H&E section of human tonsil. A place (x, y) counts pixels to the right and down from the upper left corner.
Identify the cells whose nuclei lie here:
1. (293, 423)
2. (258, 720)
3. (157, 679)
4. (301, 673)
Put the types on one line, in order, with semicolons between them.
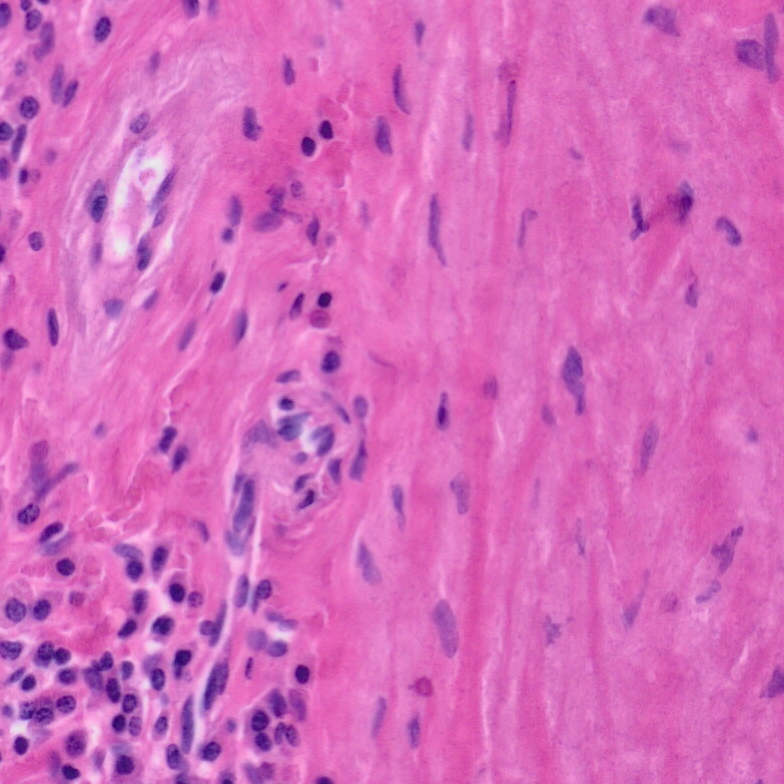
endothelial cell; plasma cell; plasma cell; mast cell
